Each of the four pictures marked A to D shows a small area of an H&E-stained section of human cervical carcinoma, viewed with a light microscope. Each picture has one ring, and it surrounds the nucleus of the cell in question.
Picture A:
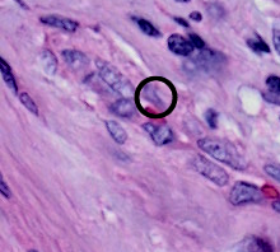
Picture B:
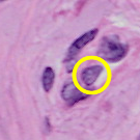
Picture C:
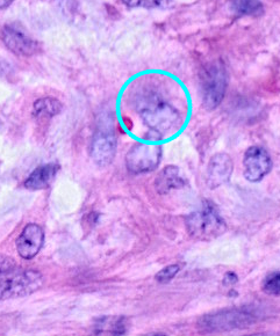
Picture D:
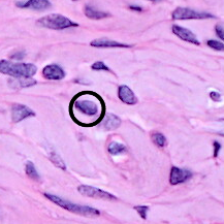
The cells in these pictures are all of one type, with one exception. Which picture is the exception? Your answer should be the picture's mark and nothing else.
D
